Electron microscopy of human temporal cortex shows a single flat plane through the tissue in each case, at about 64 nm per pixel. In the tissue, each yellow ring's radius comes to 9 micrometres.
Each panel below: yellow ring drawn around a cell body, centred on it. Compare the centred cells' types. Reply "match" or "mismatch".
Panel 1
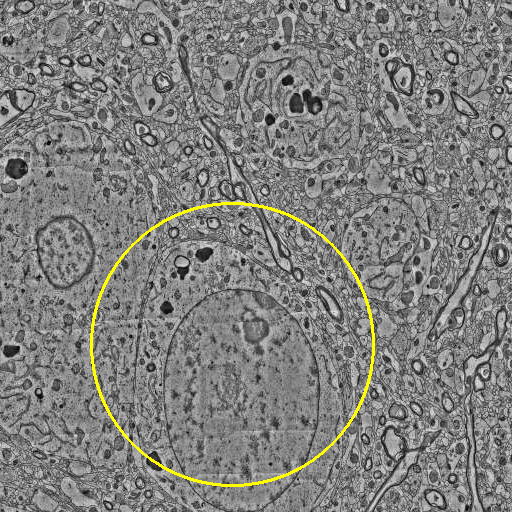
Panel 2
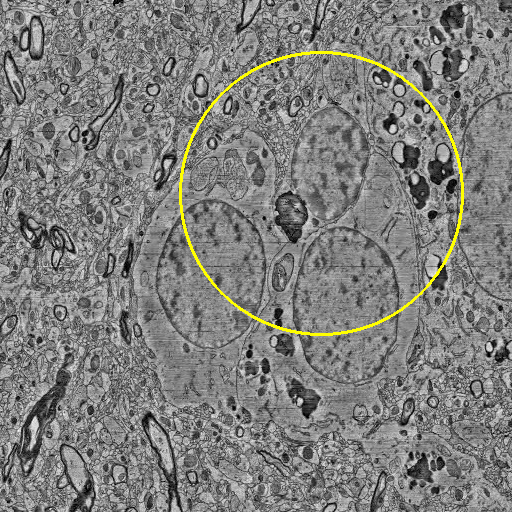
mismatch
